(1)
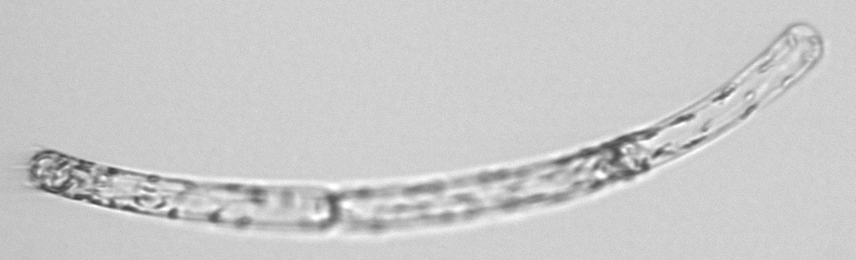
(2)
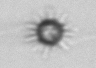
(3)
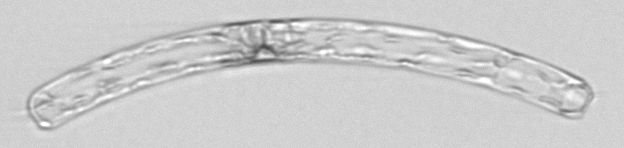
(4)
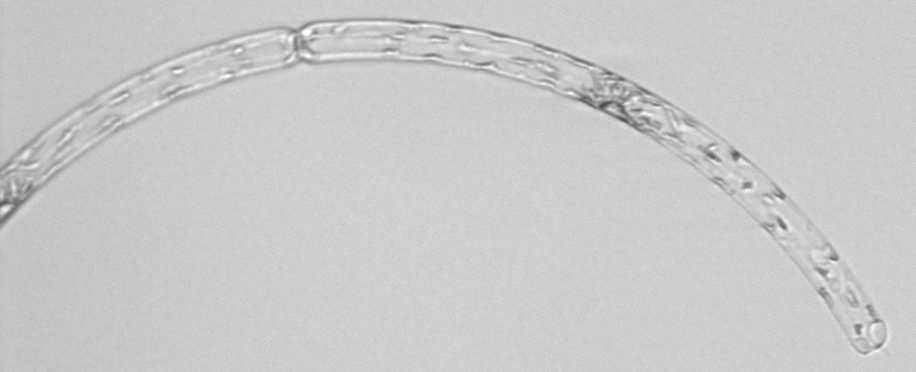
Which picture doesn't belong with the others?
Picture 2.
